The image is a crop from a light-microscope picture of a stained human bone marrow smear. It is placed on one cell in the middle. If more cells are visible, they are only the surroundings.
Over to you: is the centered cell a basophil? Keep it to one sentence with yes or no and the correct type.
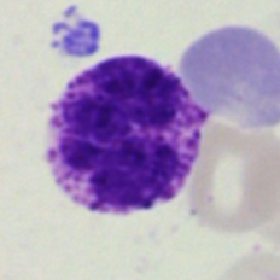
Yes, the cell at the middle of the frame is a basophil.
